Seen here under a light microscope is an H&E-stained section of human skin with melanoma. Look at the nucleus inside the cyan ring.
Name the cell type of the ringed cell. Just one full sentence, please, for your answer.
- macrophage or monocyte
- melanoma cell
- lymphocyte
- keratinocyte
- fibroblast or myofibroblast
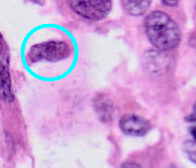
For the purposes of cell typing, the ringed cell is categorized as a melanoma cell.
